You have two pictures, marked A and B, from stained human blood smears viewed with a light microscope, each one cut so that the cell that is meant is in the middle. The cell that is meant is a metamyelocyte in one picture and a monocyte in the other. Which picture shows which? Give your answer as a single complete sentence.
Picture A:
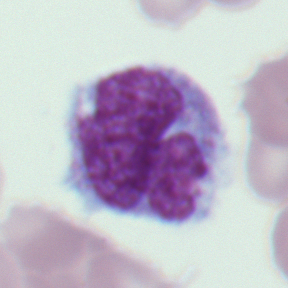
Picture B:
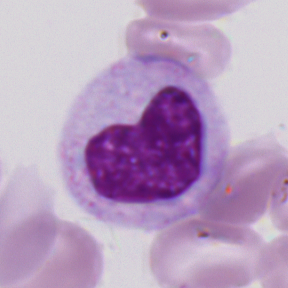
It is picture A that shows a monocyte, and picture B that shows a metamyelocyte.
